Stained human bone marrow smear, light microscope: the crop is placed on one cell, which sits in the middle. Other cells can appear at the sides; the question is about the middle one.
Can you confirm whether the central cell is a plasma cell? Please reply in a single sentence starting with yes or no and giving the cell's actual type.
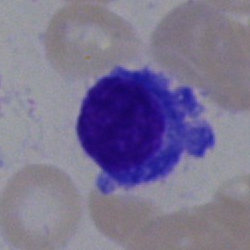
Yes, that middle cell in the crop is a plasma cell.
